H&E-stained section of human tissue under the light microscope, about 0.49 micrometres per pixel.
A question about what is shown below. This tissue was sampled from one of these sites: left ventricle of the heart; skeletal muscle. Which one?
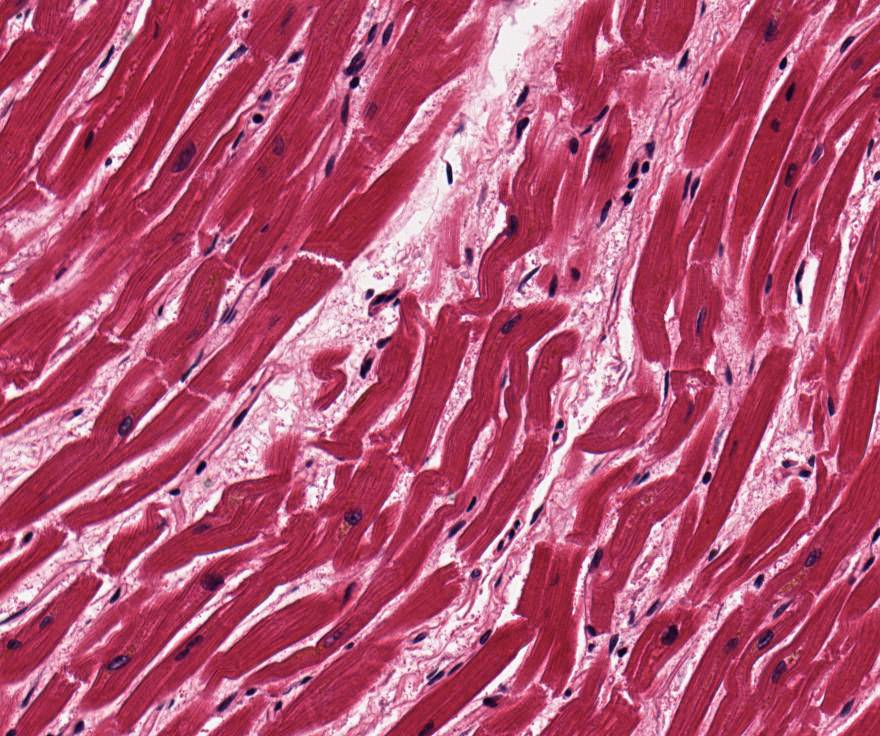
left ventricle of the heart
